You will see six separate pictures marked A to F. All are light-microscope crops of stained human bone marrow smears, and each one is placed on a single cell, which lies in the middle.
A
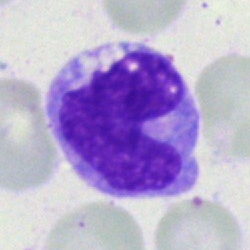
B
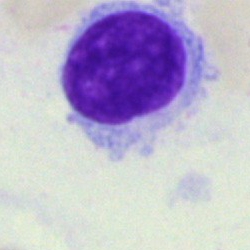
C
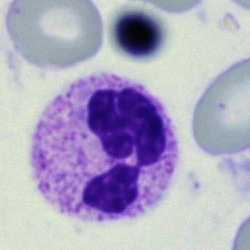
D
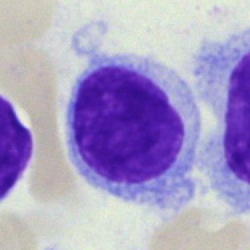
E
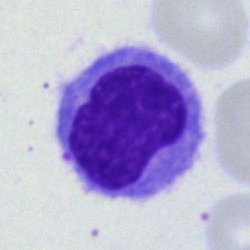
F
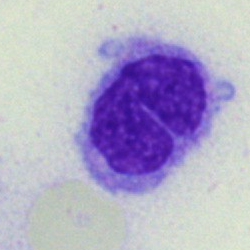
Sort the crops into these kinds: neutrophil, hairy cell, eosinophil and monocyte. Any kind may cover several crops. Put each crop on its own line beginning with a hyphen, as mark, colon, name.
- A: monocyte
- B: hairy cell
- C: neutrophil
- D: hairy cell
- E: monocyte
- F: monocyte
